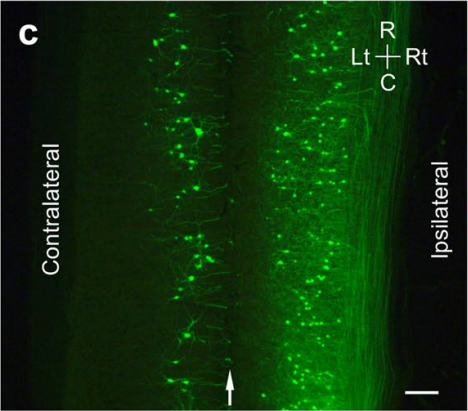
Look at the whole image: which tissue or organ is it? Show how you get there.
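Long parallel bands run top to bottom through the section. Longitudinal fibre bundles run along one edge. Labelled cell bodies lie in columns parallel to the long axis. So: spinal cord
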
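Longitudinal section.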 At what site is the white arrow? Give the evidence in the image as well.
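Midline. The arrow points at a vertical line running the length of the section. Green cell bodies lie in bands on either side of the line the arrow points at.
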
